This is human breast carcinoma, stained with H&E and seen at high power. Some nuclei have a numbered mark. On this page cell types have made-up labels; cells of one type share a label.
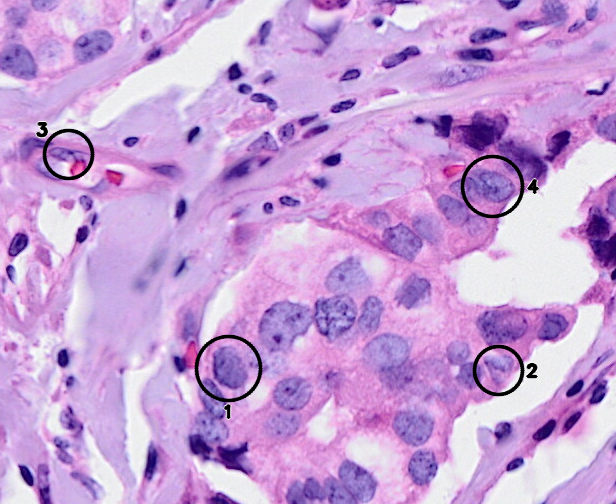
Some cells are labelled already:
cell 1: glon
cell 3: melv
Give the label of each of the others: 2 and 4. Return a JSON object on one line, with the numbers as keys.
{"2": "glon", "4": "glon"}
